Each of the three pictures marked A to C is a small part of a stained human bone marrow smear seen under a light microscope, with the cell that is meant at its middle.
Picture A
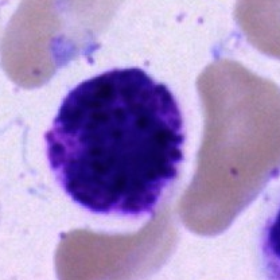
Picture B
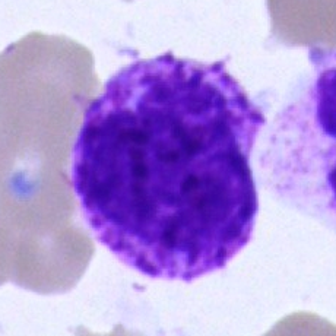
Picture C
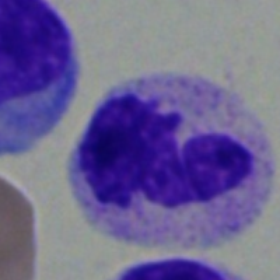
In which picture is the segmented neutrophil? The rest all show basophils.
C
